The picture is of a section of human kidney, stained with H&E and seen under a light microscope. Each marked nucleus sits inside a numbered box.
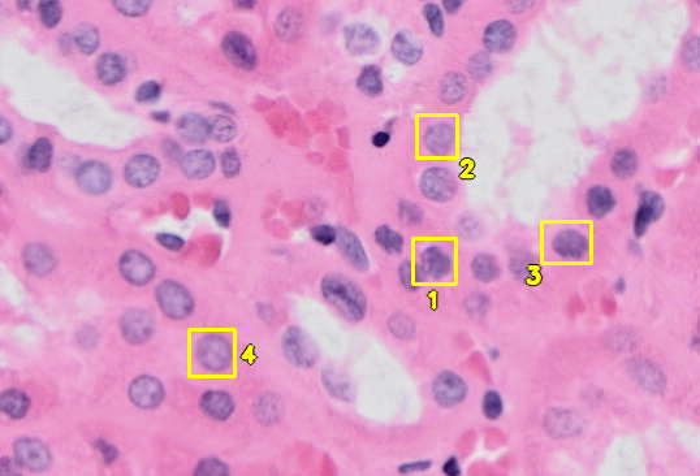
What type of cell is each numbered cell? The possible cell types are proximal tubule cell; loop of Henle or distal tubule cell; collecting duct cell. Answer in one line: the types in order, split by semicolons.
loop of Henle or distal tubule cell; loop of Henle or distal tubule cell; loop of Henle or distal tubule cell; proximal tubule cell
